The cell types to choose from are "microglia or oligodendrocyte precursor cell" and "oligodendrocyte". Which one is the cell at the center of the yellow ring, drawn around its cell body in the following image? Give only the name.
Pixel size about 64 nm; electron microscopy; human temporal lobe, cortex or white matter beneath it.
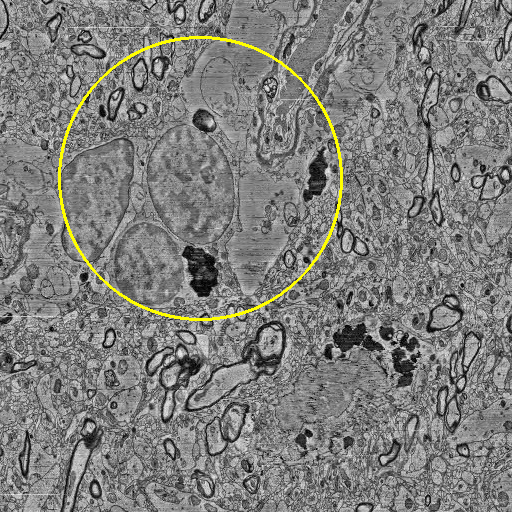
oligodendrocyte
